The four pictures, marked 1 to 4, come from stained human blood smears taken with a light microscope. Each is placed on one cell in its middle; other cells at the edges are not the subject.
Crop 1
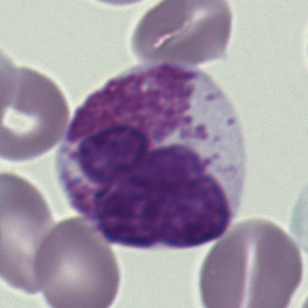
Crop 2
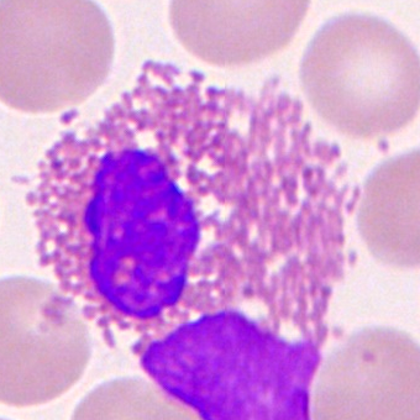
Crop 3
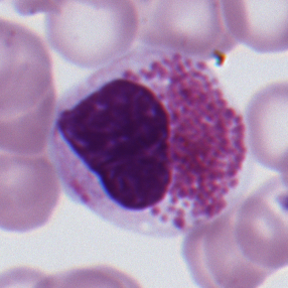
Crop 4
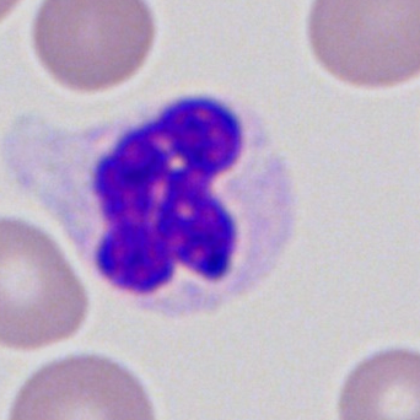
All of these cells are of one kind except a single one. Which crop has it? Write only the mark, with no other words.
4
